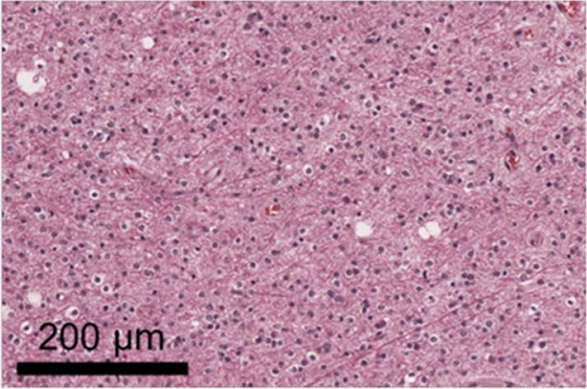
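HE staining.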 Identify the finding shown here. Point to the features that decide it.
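Many round nuclei sit in a clear, unstained rim of cytoplasm. The clear rims stand out against the pink background. So: part of the cytoplasm is transparent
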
